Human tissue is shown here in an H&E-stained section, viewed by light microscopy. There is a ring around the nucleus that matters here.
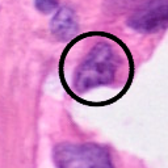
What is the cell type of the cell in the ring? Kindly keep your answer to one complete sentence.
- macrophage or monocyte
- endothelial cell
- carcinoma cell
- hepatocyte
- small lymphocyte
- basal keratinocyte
Recorded by type, the cell in the ring is a carcinoma cell.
